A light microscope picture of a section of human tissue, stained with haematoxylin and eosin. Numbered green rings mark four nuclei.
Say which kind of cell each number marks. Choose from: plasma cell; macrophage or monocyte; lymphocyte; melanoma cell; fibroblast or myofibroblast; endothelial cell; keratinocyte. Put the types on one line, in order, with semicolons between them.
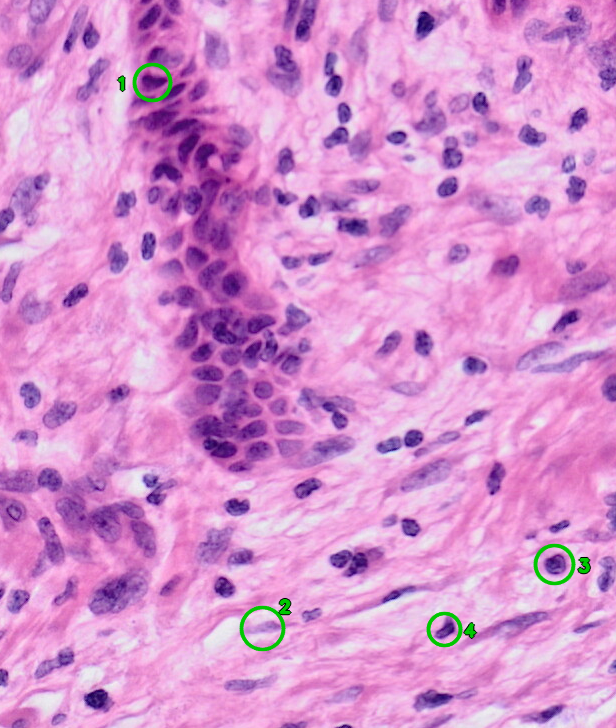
keratinocyte; fibroblast or myofibroblast; lymphocyte; lymphocyte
